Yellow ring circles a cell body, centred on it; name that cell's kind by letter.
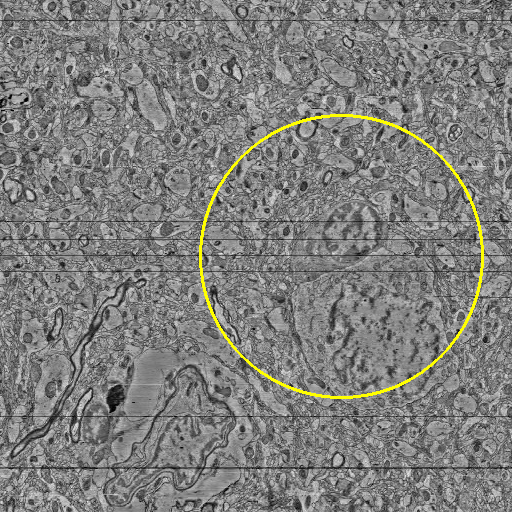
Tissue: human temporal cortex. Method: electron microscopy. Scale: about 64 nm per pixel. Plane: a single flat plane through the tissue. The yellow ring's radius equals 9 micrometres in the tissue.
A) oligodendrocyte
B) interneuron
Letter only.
A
